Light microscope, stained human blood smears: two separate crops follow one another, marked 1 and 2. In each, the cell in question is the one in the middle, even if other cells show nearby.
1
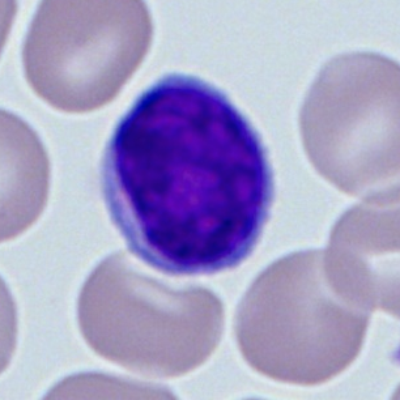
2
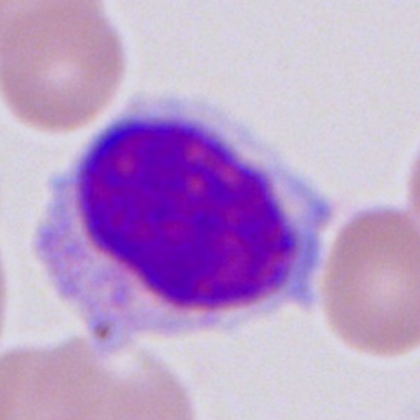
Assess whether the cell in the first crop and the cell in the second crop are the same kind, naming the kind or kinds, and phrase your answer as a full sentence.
Yes, the pair of crops both show lymphocytes.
